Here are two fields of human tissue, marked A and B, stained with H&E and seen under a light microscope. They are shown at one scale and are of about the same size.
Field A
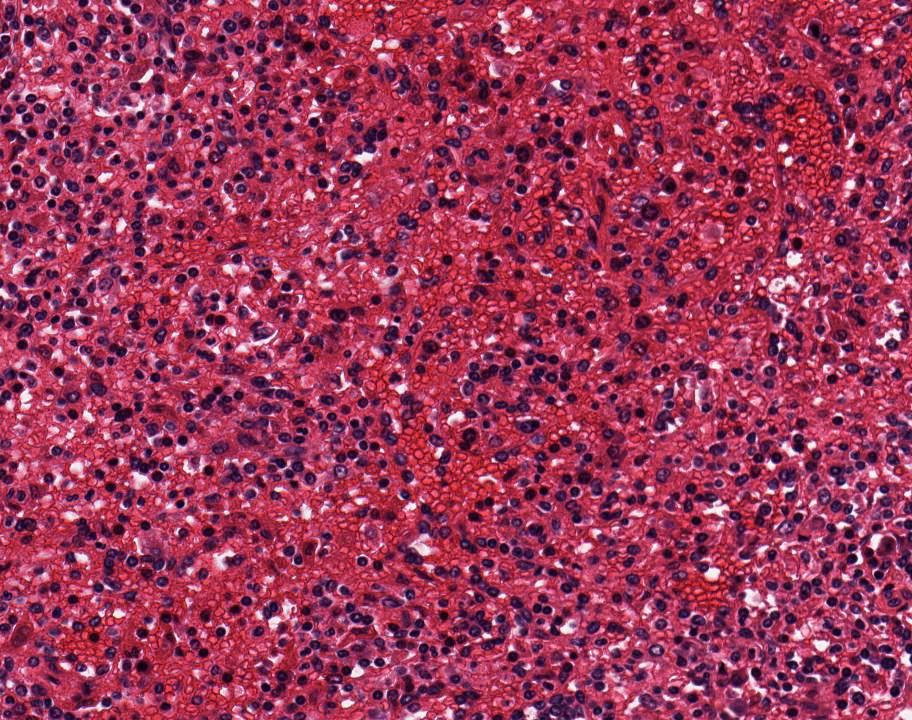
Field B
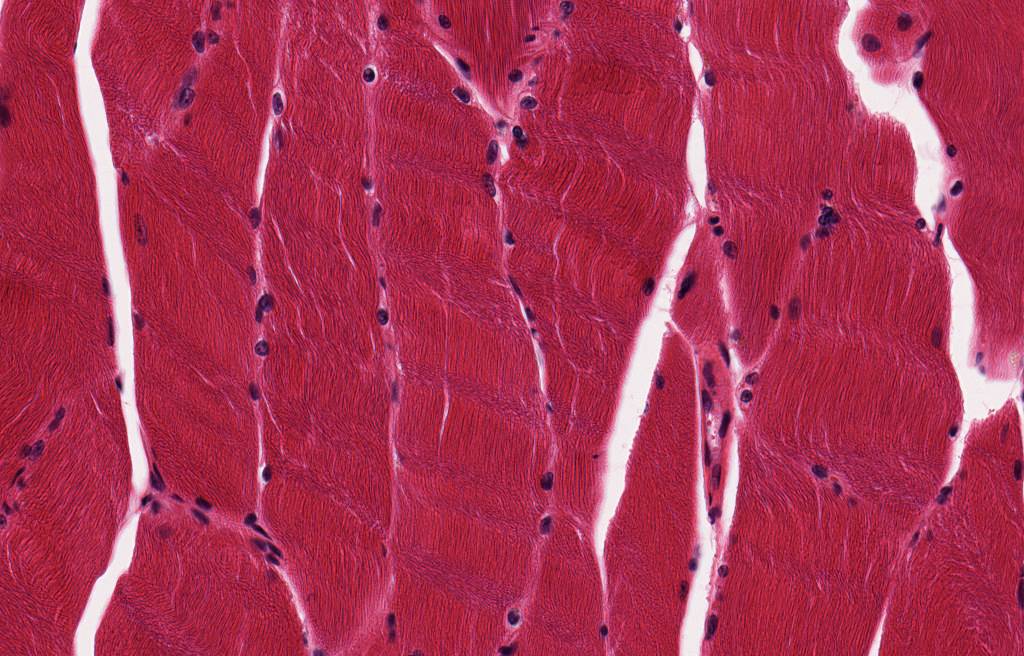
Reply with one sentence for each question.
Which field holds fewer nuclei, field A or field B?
Fewer nuclei lie in field B than in field A.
